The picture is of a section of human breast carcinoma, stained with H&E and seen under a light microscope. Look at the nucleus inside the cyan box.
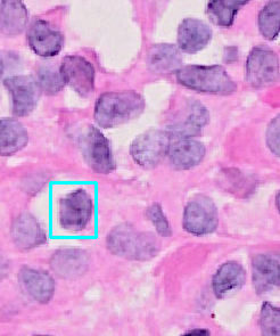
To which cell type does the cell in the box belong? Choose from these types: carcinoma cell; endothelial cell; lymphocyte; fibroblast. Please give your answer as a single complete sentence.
Assigned to a cell type, the cell in the box is a carcinoma cell.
